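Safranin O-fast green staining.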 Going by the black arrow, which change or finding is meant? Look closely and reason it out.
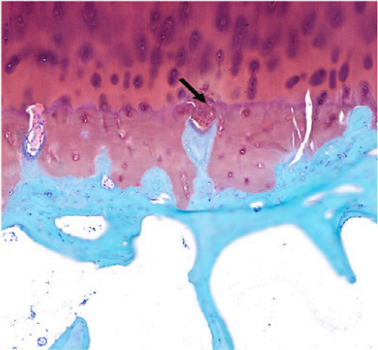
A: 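A channel extends upward from the blue-green bone into the reddish cartilage. The arrow points at the tip of this channel within the cartilage. So: vascular invasion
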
